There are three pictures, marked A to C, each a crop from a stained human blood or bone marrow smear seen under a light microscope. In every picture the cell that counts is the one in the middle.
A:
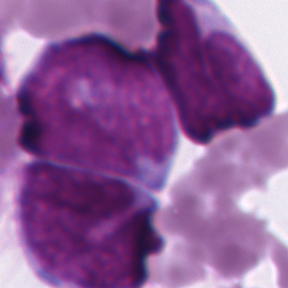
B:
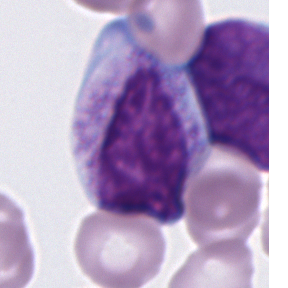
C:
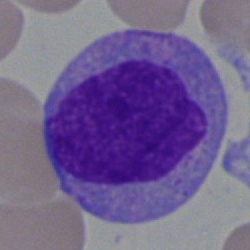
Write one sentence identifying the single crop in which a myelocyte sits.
Crop B matches the request, showing a myelocyte.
